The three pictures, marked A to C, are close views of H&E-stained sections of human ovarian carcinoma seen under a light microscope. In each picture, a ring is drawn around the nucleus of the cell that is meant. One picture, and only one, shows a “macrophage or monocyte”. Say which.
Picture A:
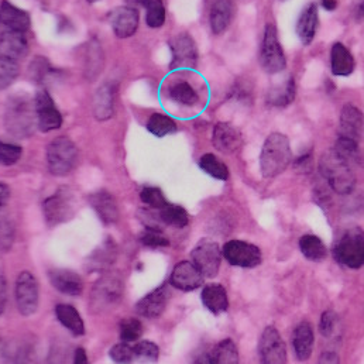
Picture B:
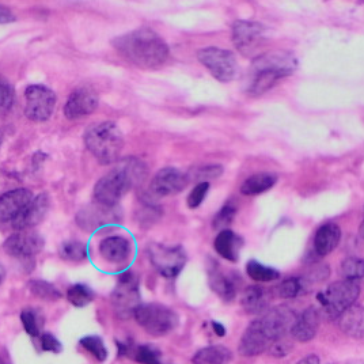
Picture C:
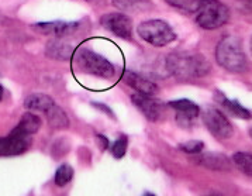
B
